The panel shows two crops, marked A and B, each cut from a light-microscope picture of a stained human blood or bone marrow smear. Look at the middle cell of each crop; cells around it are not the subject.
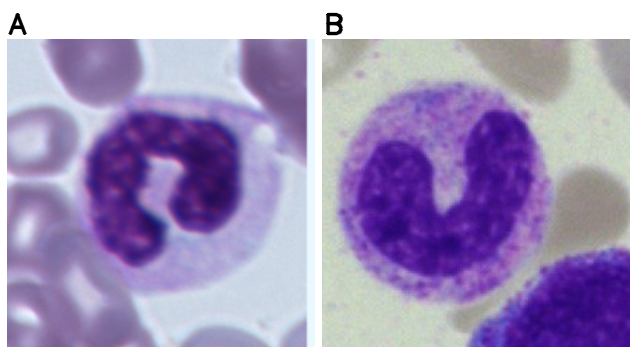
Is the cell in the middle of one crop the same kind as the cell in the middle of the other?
yes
